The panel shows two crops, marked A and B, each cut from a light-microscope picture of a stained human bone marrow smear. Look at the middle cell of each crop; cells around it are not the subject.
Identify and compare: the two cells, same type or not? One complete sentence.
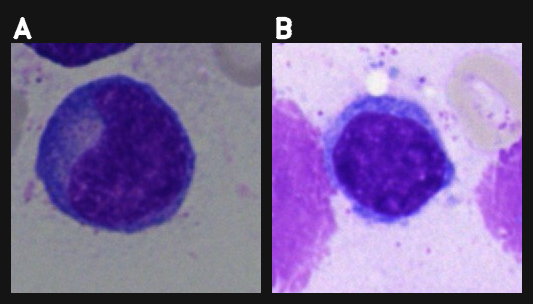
No, at the centre of crop A is a monocyte, and at the centre of crop B is a lymphocyte.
